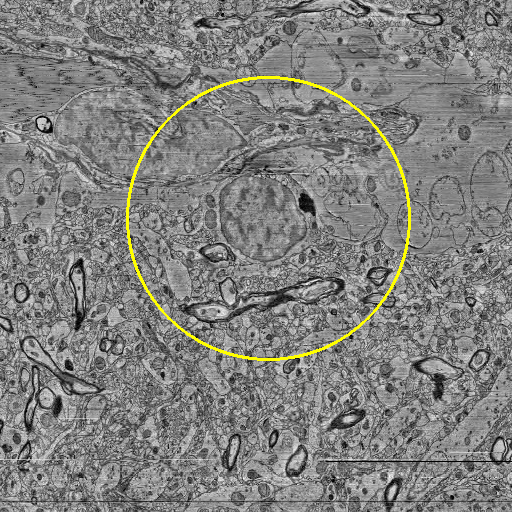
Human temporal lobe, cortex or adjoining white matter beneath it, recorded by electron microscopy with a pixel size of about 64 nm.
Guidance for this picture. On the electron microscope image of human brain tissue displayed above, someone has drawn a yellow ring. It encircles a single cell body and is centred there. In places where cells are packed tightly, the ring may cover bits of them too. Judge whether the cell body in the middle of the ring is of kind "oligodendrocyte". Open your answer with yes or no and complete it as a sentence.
Yes, that kind matches the cell whose body lies at the ring's centre in the image above.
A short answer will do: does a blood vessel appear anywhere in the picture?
Yes, there is a blood vessel.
